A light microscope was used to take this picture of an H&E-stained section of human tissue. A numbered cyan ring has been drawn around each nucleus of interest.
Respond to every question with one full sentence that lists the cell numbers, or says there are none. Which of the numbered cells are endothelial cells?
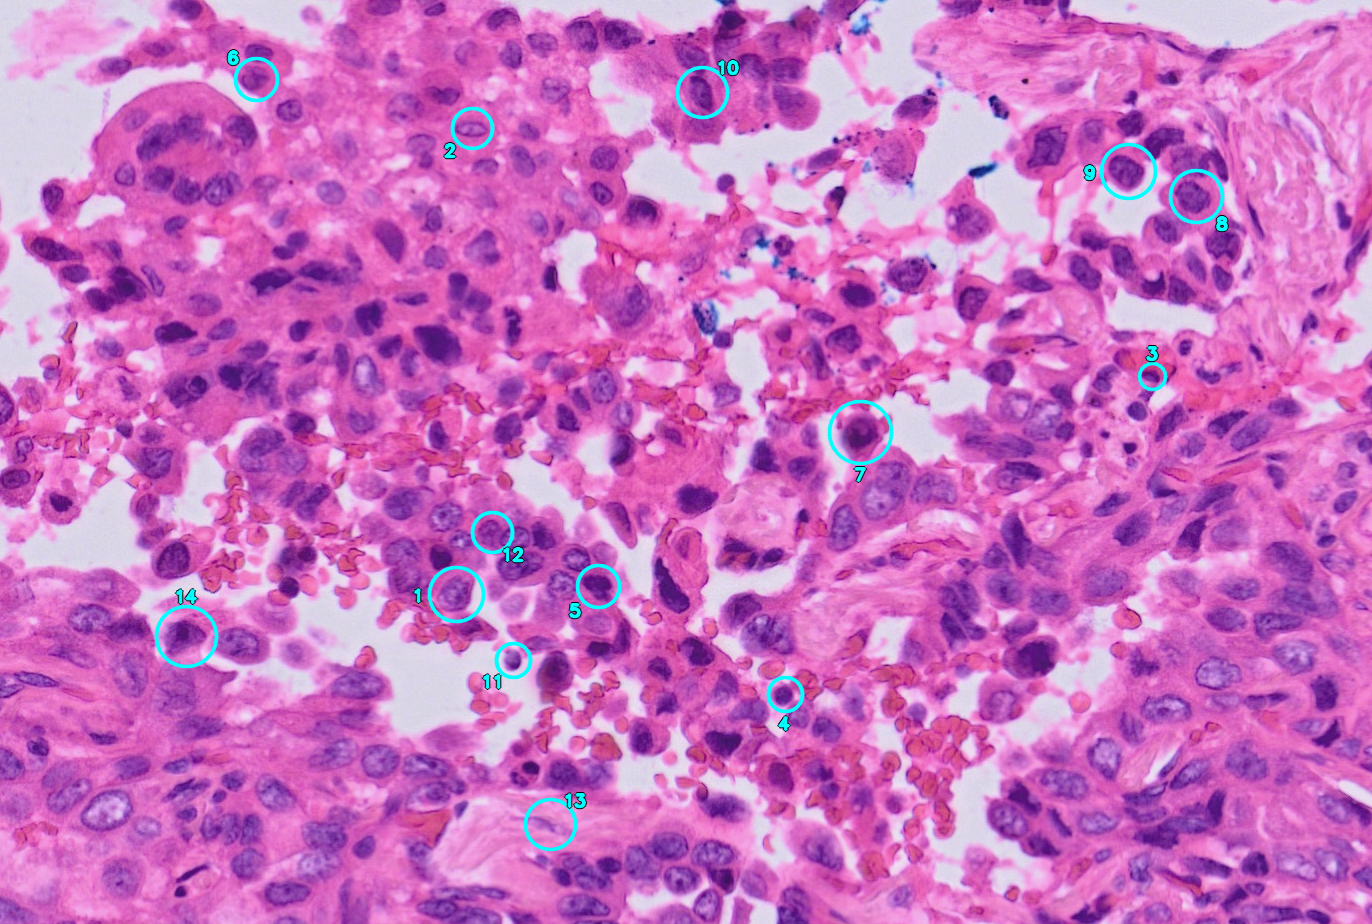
No marked cell except number 3 is an endothelial cell.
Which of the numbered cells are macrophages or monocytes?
The cells tagged 2 and 6 are macrophages or monocytes in this tissue section.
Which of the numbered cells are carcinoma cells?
So, the cells with numbers 1, 5, 7, 8, 9, 10, 12 and 14 are carcinoma cells.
